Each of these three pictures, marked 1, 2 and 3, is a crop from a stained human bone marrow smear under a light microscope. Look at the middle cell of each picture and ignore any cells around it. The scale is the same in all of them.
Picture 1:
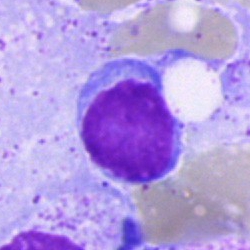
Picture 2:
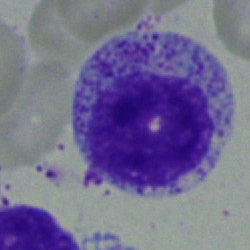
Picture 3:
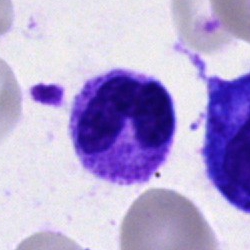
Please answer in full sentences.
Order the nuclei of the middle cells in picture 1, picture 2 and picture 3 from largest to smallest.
Going down, they run 2, 1, 3.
